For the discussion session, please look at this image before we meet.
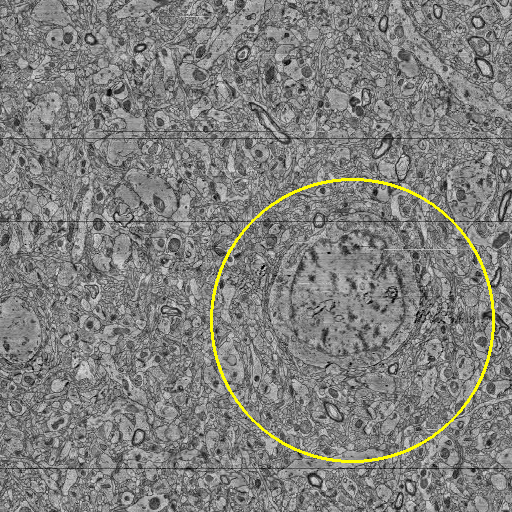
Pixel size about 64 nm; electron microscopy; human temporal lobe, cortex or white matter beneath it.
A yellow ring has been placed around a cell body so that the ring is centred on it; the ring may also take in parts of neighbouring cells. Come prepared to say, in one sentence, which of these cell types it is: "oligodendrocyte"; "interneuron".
The cell centred in the ring is an interneuron.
